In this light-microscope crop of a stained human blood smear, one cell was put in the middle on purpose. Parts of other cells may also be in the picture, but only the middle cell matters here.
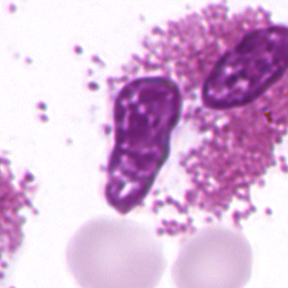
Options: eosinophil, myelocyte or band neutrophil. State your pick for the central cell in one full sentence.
The target cell in the middle of the crop is an eosinophil.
